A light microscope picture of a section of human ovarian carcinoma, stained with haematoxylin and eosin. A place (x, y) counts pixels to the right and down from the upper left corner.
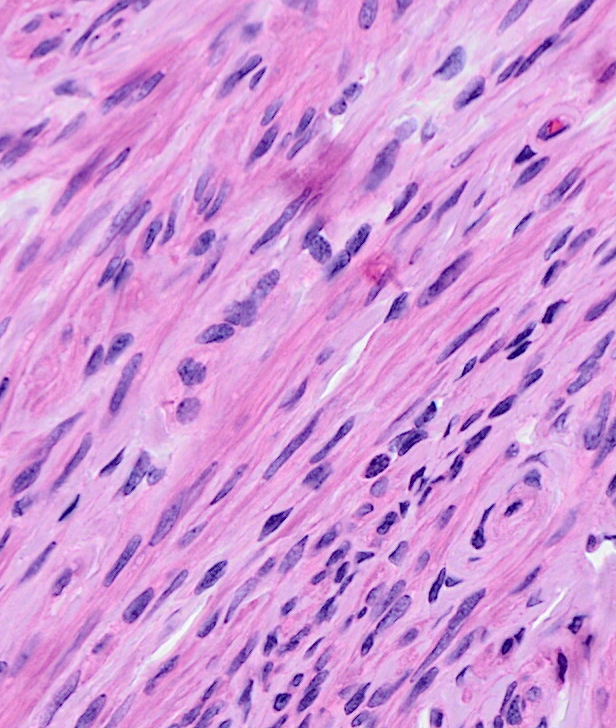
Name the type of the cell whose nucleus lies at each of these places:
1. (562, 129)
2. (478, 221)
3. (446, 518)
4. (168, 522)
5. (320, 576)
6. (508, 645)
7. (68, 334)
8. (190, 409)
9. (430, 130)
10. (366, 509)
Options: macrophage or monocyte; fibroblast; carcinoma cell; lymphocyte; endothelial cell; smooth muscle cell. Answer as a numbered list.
1. endothelial cell
2. fibroblast
3. smooth muscle cell
4. smooth muscle cell
5. smooth muscle cell
6. smooth muscle cell
7. smooth muscle cell
8. endothelial cell
9. fibroblast
10. smooth muscle cell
